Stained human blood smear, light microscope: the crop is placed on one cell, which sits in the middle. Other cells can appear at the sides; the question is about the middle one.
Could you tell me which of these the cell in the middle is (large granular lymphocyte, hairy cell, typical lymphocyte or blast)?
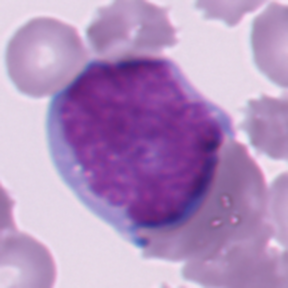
blast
